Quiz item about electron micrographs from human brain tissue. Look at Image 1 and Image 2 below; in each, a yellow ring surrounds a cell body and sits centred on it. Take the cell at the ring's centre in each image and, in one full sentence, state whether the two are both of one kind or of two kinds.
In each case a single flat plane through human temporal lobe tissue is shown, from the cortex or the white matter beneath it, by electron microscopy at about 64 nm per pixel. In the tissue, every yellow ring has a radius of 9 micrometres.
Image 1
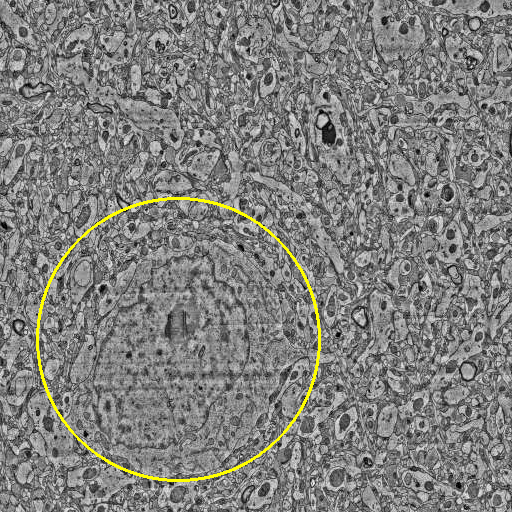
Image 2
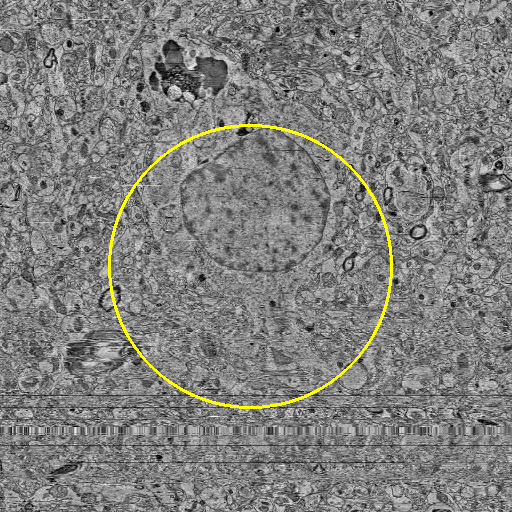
In Image 1 and Image 2, the cells at the ring centres are of two kinds.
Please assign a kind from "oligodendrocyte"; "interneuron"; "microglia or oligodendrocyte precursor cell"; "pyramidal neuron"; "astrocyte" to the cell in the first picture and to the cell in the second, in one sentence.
In the first picture we have an interneuron, and in the second, an astrocyte.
